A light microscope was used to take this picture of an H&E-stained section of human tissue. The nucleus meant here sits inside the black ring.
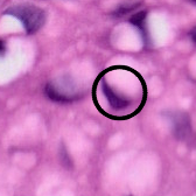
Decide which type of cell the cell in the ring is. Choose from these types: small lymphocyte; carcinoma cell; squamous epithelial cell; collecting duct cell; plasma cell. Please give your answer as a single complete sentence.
As a matter of cell type, the cell in the ring is a squamous epithelial cell.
